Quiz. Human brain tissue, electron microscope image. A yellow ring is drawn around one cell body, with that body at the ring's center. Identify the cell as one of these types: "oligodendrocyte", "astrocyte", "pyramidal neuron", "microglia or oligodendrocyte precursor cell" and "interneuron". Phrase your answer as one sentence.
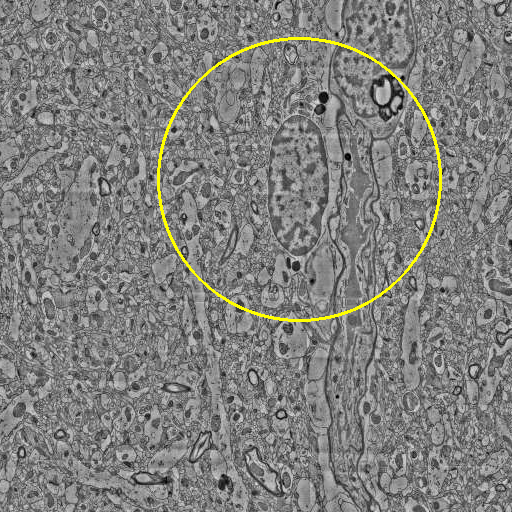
At the center of the ring sits a microglial cell or oligodendrocyte precursor cell.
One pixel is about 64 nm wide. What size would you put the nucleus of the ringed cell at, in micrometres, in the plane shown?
Roughly 9 by 4 micrometers, clearly longer than it is wide in this plane.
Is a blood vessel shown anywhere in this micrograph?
Yes.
